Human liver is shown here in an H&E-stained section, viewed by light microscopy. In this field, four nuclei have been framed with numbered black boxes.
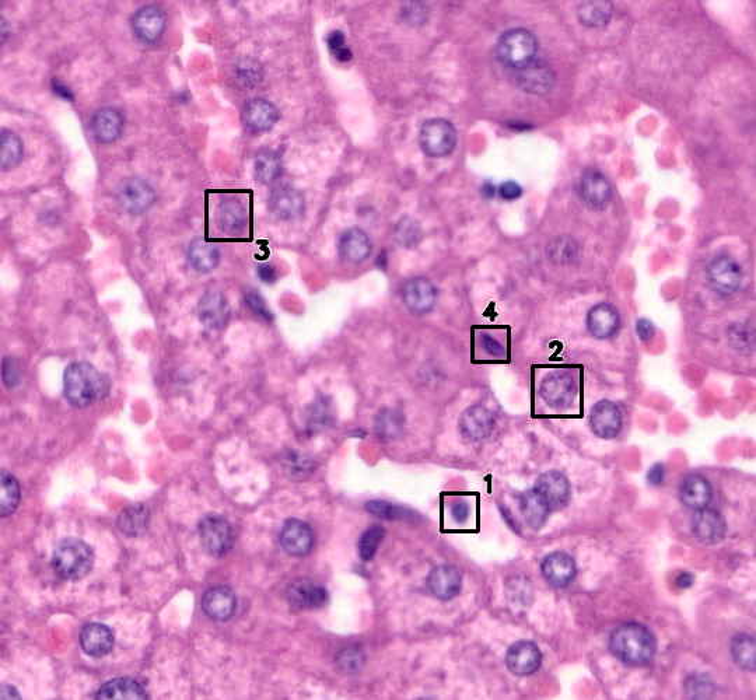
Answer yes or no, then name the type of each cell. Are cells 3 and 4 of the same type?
No, cell 3 is a hepatocyte and cell 4 is a fibroblast or stellate cell.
